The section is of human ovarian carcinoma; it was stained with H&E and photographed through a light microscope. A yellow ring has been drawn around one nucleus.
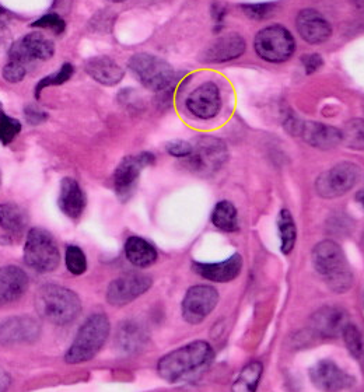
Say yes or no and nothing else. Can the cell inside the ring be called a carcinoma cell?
no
